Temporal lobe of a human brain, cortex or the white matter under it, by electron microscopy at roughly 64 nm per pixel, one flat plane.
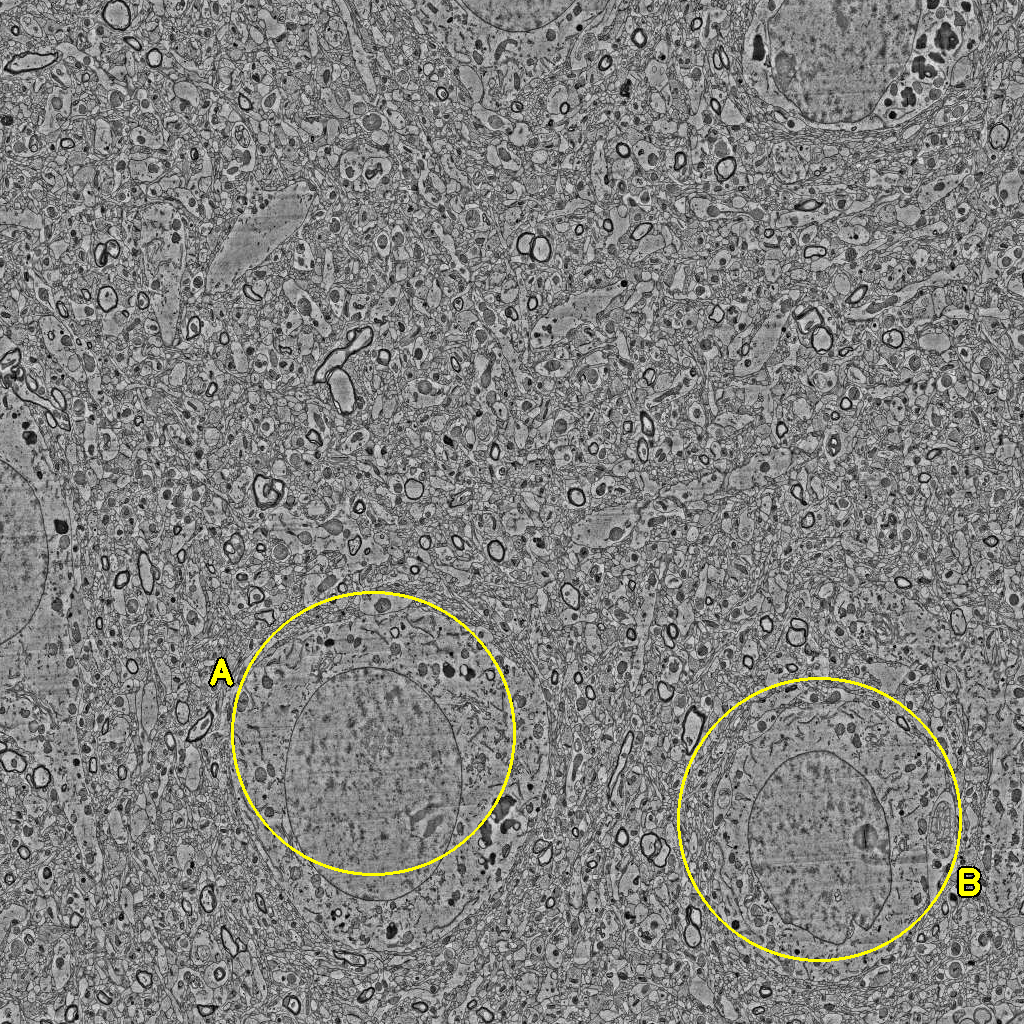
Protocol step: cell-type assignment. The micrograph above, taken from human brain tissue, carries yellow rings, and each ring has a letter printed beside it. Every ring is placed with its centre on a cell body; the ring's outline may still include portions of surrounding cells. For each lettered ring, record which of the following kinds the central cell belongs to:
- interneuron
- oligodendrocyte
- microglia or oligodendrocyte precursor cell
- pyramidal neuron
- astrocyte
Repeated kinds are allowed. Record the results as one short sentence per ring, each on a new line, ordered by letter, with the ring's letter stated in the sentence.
In ring A, the central cell is a pyramidal neuron.
In ring B, the central cell is a pyramidal neuron.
